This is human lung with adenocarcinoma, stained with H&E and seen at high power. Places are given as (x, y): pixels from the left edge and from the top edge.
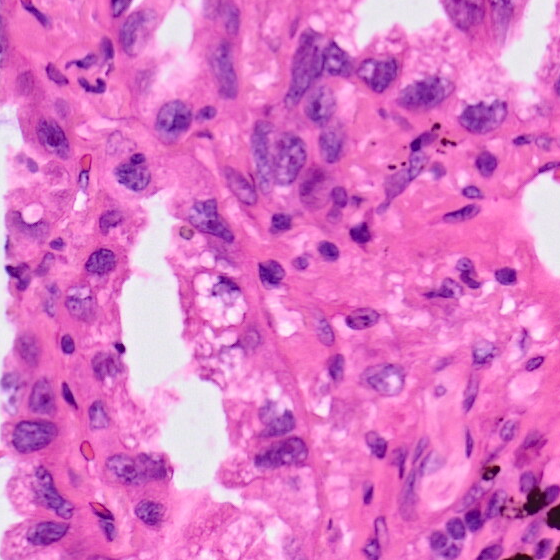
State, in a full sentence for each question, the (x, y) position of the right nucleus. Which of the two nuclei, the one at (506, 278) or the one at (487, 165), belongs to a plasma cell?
The nucleus found at (487, 165) belongs to a plasma cell.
